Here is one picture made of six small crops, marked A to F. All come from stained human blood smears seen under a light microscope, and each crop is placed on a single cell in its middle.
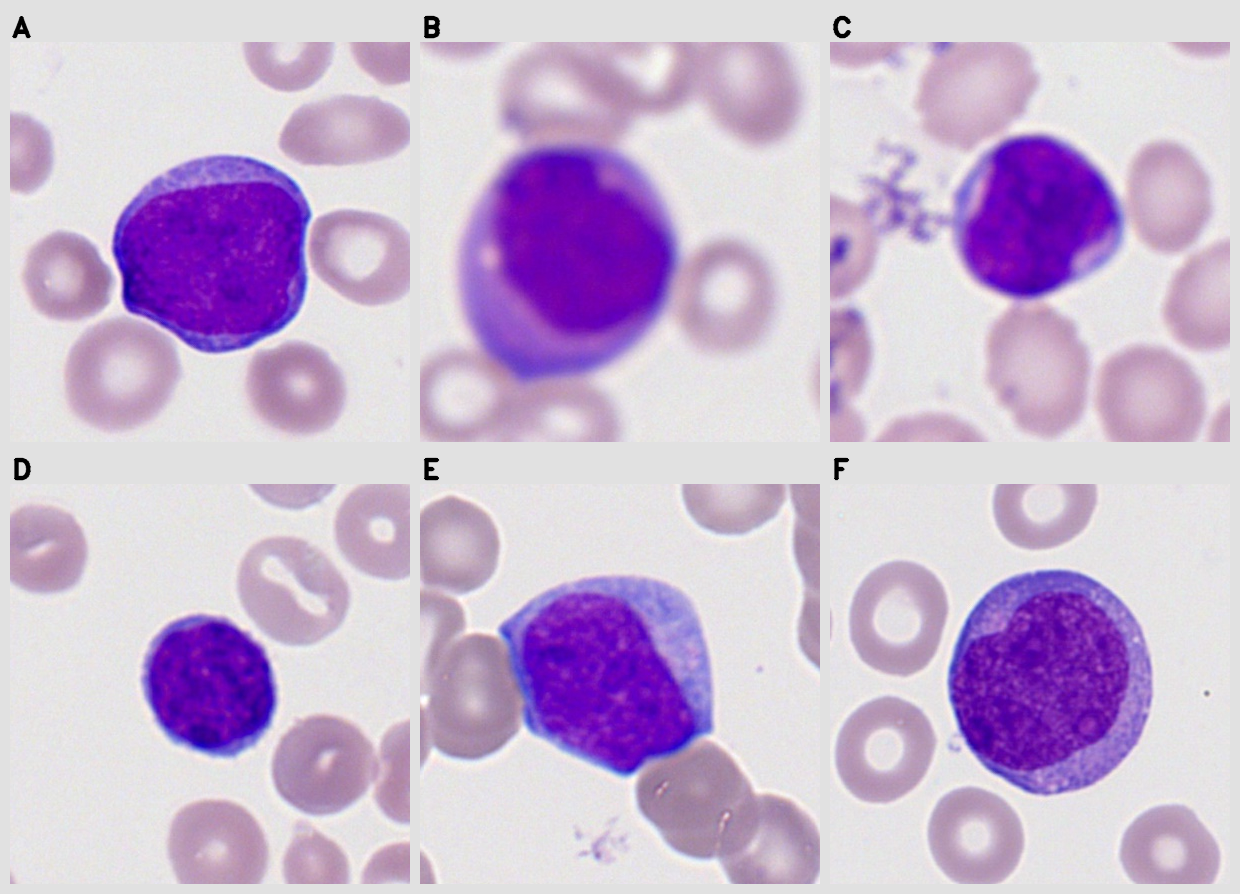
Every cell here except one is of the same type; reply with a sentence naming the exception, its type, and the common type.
There is a lymphocyte in crop D, while all the other crops show myeloblasts.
